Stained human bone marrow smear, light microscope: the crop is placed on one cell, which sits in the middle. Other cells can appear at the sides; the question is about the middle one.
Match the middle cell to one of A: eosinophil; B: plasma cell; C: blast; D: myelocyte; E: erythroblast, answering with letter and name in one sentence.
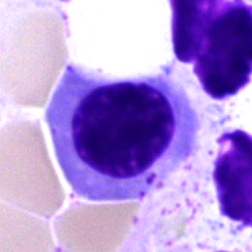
Answer key: option E, the middle cell being an erythroblast.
